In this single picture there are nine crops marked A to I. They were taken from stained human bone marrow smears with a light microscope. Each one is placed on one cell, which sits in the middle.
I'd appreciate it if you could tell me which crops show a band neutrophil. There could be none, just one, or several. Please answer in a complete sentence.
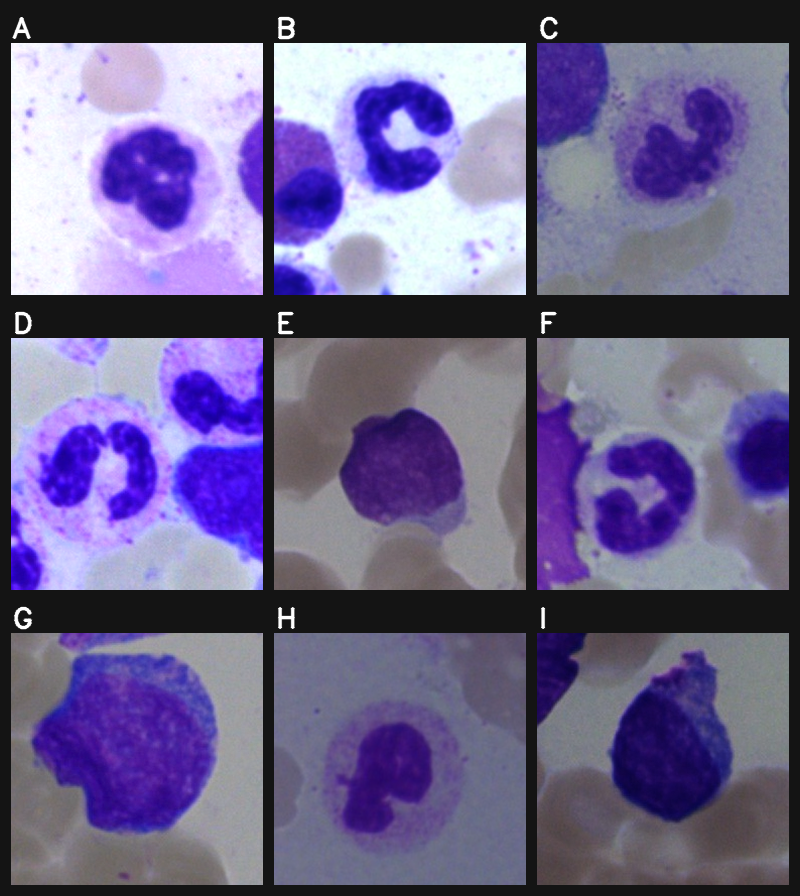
Not one of the crops contains a band neutrophil at its centre.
